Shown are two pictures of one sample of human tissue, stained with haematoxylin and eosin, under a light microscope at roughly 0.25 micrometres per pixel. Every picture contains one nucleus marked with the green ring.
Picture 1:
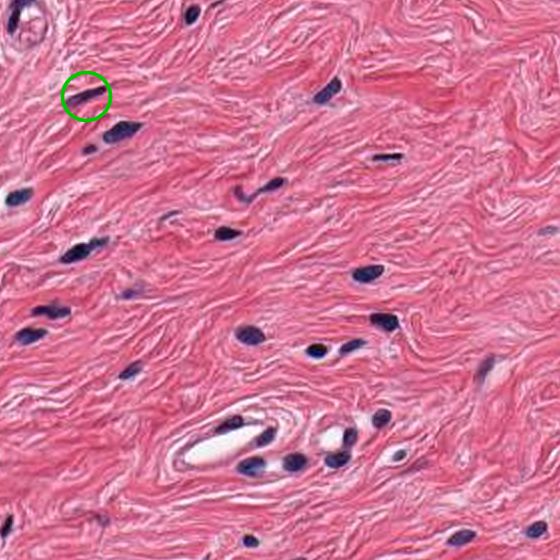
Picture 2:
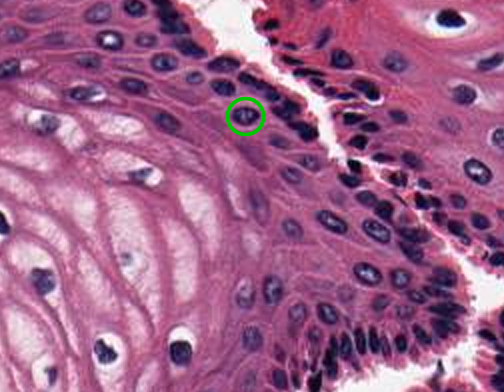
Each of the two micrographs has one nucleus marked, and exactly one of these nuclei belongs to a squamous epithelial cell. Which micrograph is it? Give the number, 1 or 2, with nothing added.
2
